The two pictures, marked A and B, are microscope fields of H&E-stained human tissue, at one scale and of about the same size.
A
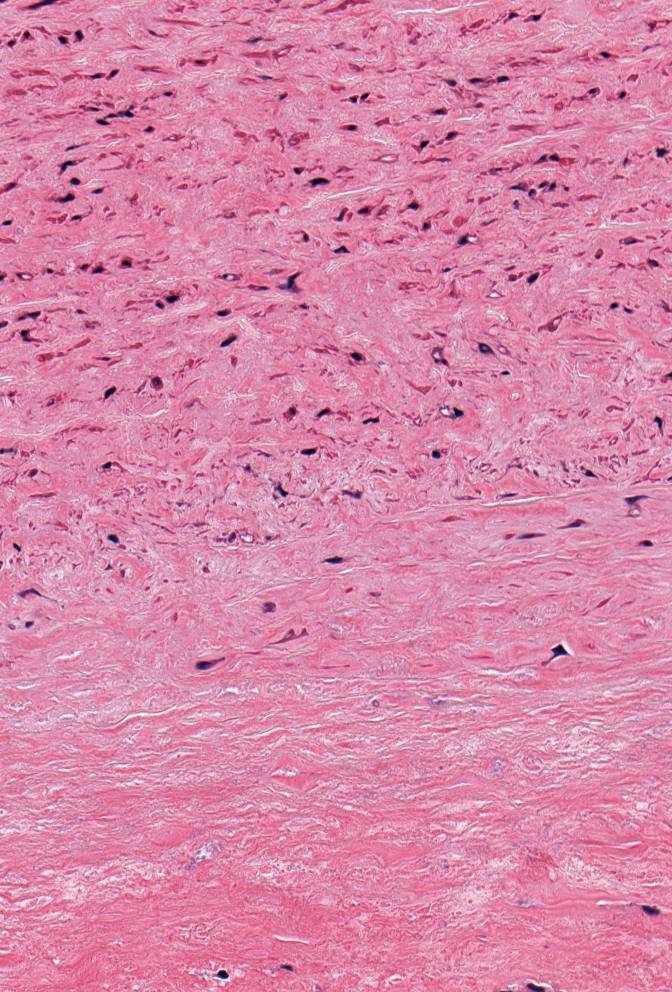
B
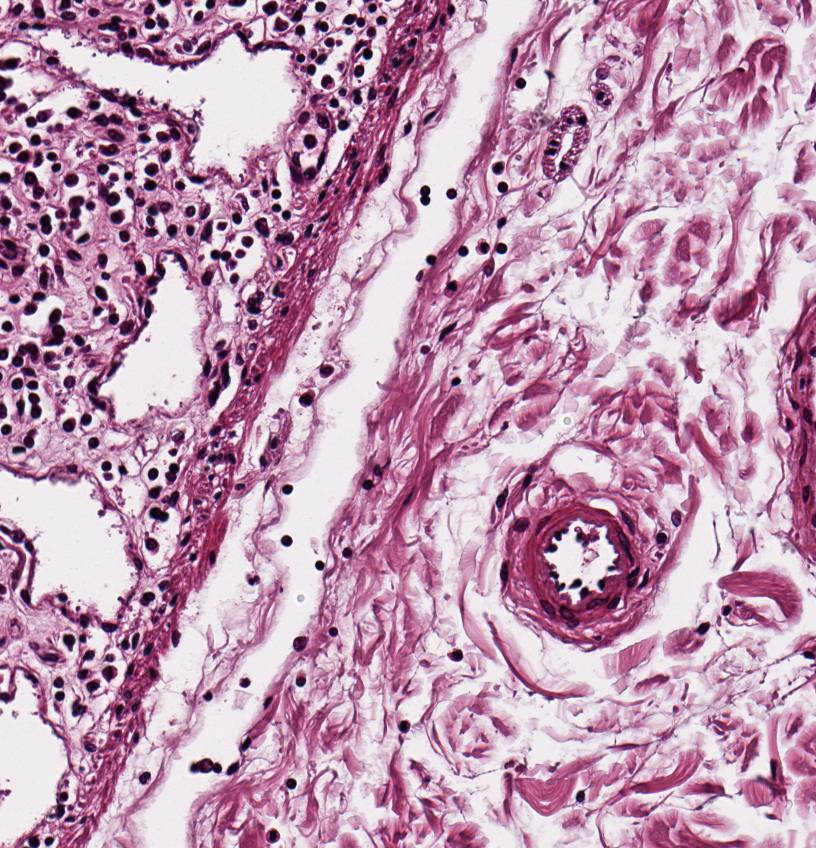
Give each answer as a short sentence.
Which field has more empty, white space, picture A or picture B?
Picture B has more white space.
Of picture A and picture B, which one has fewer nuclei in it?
There are fewer nuclei in picture A.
